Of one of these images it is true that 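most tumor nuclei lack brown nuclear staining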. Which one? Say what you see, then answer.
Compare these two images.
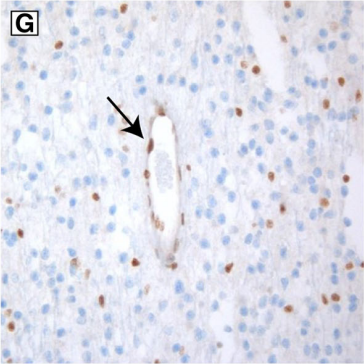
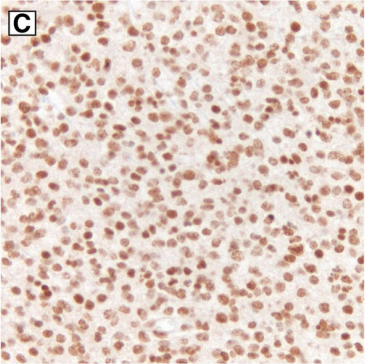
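The first image. First image: most nuclei are blue, only scattered nuclei are brown. Second image: nearly all nuclei are stained brown.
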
